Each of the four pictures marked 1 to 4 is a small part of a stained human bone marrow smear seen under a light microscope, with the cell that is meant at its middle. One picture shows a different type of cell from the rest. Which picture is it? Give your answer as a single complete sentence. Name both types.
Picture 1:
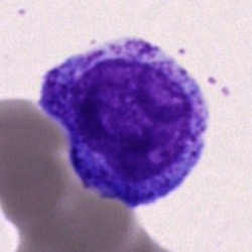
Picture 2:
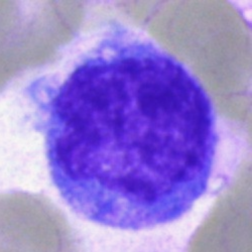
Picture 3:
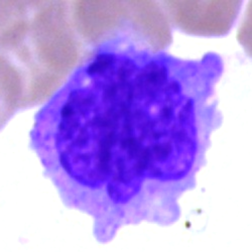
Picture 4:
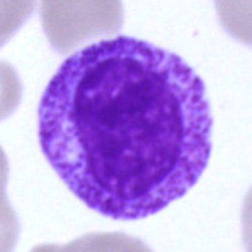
Picture 3 differs, because its cell is a monocyte and the rest are promyelocytes.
